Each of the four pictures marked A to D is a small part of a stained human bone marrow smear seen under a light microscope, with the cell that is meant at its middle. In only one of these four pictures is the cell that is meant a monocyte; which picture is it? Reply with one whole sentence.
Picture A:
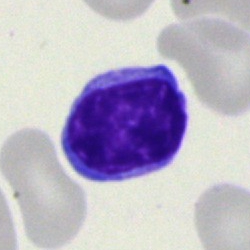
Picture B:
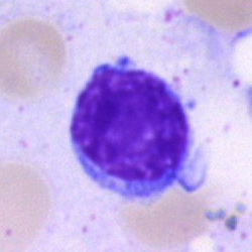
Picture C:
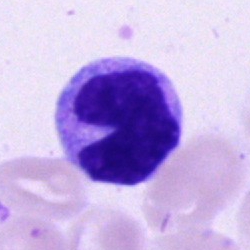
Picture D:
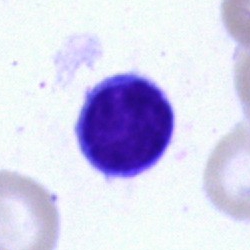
The monocyte is the one in picture C.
